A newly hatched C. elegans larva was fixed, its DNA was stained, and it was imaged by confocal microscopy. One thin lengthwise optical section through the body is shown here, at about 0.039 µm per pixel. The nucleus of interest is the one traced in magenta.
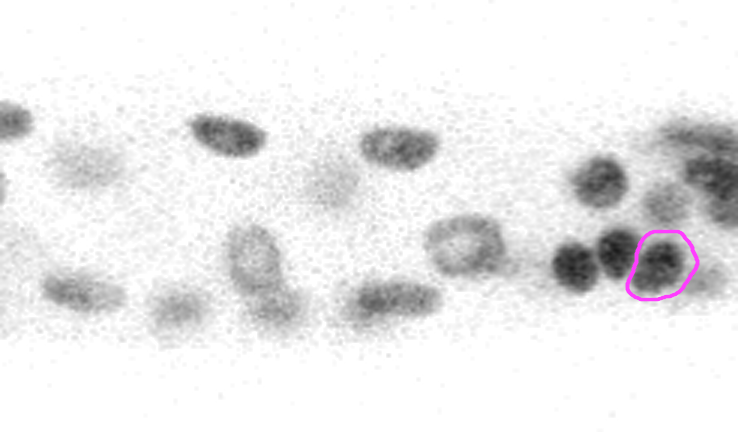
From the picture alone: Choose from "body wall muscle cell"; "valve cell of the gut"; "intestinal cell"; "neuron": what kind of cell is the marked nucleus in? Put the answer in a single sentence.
What is marked is the nucleus of a neuron.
